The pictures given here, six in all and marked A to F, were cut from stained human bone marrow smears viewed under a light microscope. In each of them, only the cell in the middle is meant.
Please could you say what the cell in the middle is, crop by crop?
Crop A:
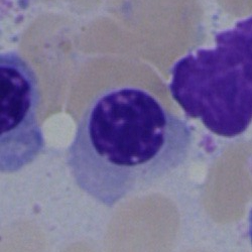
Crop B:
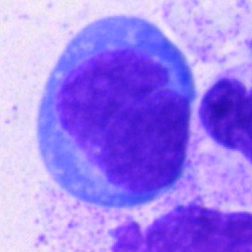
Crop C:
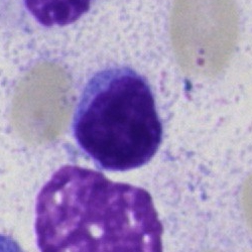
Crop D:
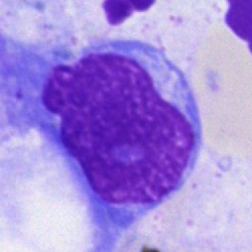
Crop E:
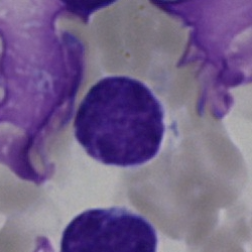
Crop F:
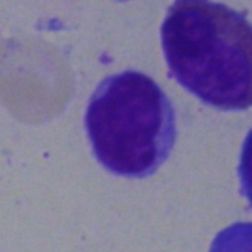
A: erythroblast
B: blast
C: lymphocyte
D: blast
E: lymphocyte
F: lymphocyte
